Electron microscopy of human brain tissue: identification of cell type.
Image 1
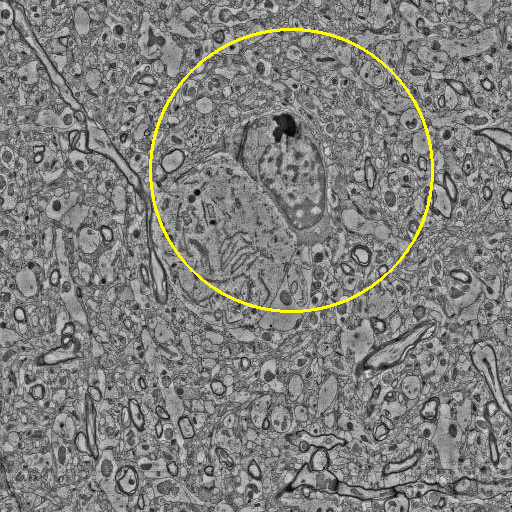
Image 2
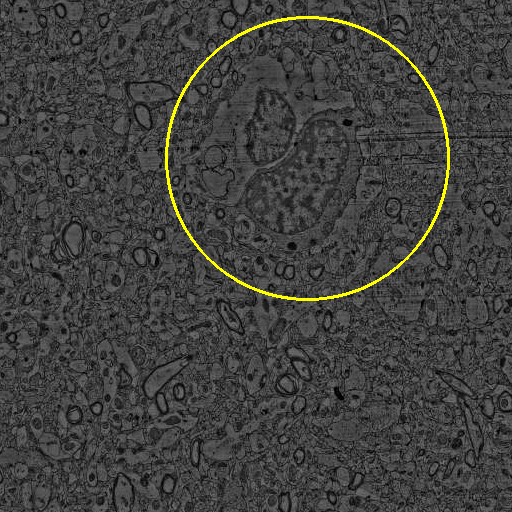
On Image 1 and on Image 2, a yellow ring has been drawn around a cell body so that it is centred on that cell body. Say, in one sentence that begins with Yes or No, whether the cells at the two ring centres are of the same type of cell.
Yes, both cells are the same type of cell.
